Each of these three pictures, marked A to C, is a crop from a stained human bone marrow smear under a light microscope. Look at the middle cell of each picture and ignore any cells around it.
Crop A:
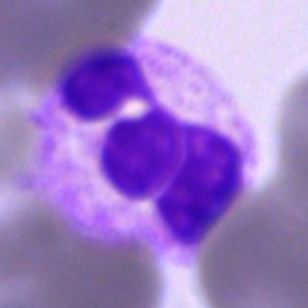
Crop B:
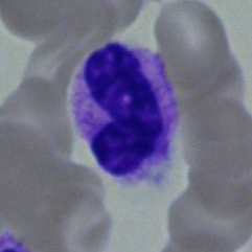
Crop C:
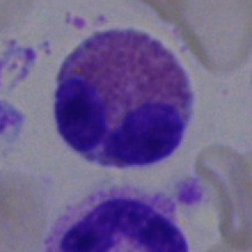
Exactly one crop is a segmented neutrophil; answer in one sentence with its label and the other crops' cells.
On inspection, crop A shows a segmented neutrophil, while crop B is a band neutrophil and crop C is an eosinophil.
